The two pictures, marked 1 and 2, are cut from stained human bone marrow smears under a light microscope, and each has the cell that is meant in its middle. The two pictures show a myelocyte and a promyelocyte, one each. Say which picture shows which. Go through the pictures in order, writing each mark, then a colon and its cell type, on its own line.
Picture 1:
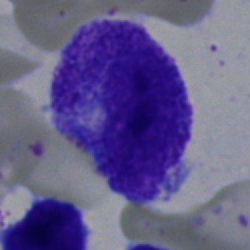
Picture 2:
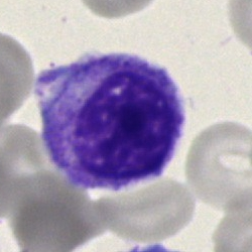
1: promyelocyte
2: myelocyte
